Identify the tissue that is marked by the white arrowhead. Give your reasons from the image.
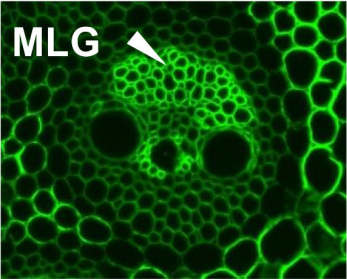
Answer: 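Phloem. The arrowhead points to a cluster of small polygonal cells at the outer pole of the bundle. The two large vessels lie below the cluster.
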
